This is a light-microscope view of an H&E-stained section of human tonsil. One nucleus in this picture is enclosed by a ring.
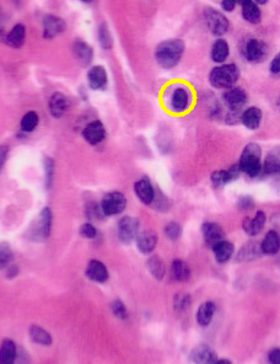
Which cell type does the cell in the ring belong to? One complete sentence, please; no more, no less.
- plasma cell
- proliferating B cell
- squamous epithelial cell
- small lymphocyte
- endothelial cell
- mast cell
Microscopically, the cell in the ring is categorized as a mast cell.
